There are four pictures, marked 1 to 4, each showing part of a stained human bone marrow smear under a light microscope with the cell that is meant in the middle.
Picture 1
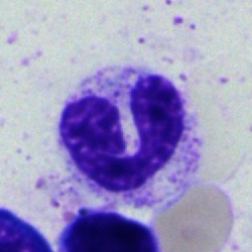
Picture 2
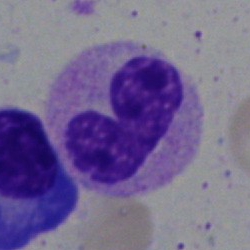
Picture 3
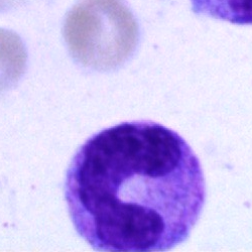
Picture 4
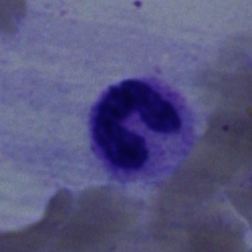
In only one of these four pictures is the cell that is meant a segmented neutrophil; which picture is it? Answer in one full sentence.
Picture 1 shows the segmented neutrophil.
